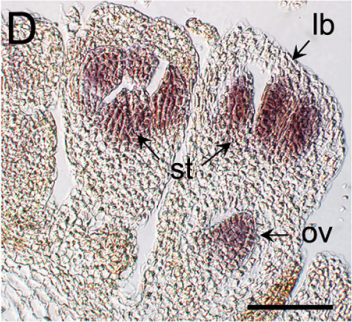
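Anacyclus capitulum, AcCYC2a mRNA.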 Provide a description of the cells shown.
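Section through a young disc floret showing the corolla lobes at the top, made of pale, unstained cells with a clear outer layer. Within the floret, the developing stamens appear as elongated bodies with dense, dark purple staining in their cells, flanked by unstained tissue. The surrounding floral tissue consists of small, pale, closely packed cells, and neighbouring florets are partly visible at the edges of the section, separated by narrow clefts.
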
